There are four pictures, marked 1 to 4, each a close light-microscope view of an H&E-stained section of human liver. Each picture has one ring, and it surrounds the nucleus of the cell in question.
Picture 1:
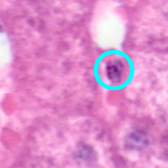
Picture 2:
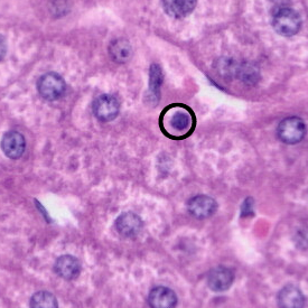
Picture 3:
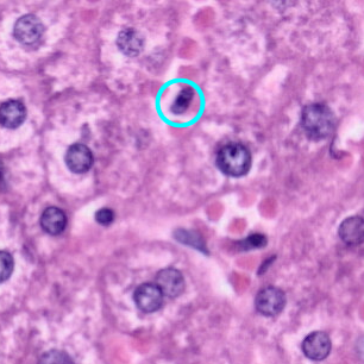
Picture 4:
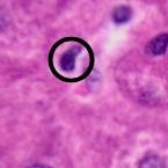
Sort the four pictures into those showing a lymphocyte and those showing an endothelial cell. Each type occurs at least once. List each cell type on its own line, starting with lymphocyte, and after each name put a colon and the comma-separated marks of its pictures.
lymphocyte: 2, 3, 4
endothelial cell: 1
